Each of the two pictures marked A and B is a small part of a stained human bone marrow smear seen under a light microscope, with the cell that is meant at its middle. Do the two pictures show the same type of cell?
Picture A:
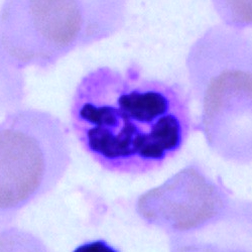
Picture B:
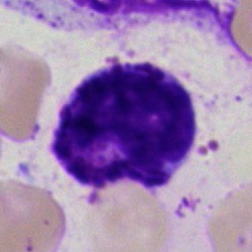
no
